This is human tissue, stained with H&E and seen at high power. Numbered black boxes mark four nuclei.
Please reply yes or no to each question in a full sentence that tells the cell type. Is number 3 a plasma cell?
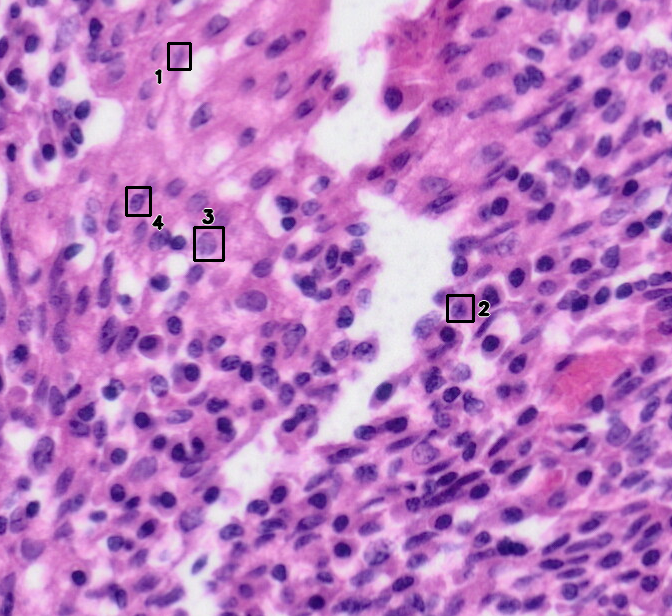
No, the cell identified by number 3 is a squamous epithelial cell, not a plasma cell.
